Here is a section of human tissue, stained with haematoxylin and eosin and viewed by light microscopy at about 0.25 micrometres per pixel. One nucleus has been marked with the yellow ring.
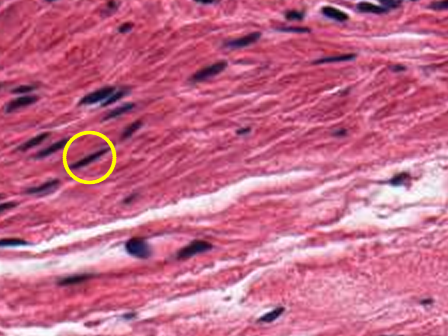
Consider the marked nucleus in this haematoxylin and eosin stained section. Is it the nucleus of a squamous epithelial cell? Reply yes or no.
no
